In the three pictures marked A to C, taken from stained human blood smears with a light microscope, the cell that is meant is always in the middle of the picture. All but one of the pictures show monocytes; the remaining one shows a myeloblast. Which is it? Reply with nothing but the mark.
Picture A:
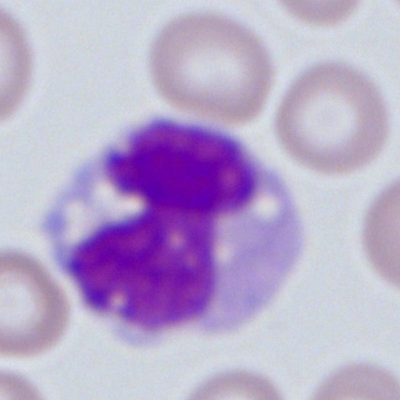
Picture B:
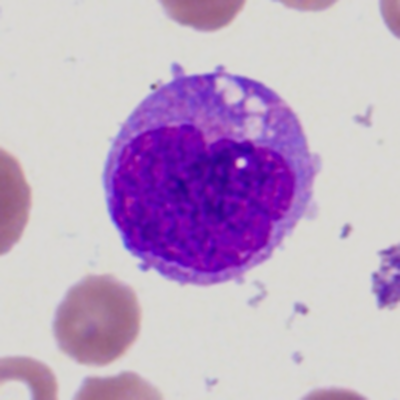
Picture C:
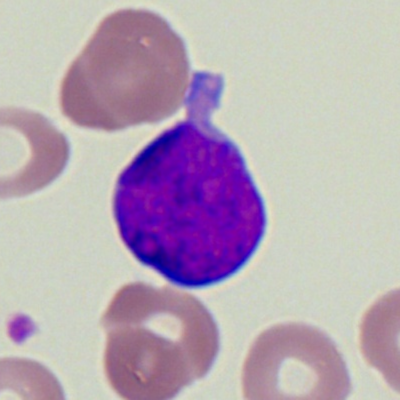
C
